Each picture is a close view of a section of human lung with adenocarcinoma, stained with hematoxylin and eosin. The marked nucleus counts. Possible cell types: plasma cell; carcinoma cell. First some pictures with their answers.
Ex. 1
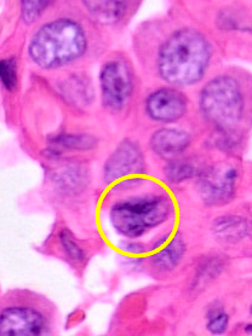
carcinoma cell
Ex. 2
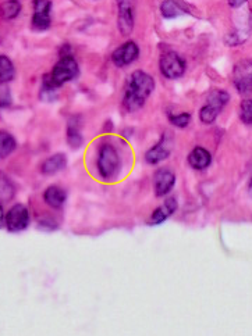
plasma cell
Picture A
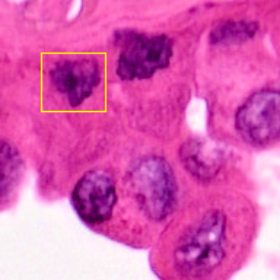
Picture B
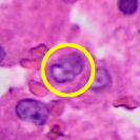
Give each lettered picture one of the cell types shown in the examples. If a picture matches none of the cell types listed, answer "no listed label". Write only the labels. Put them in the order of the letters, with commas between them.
carcinoma cell, no listed label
